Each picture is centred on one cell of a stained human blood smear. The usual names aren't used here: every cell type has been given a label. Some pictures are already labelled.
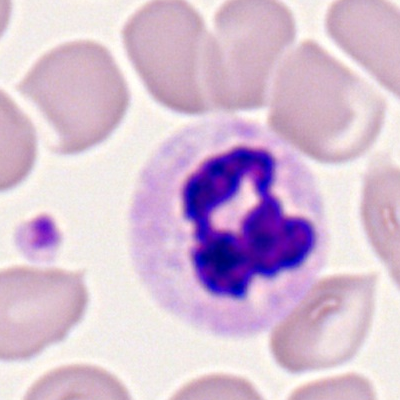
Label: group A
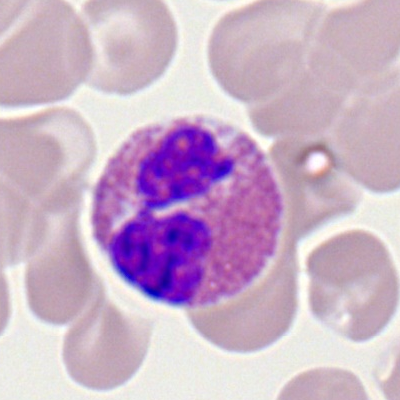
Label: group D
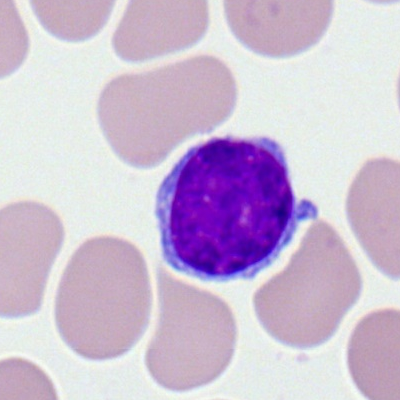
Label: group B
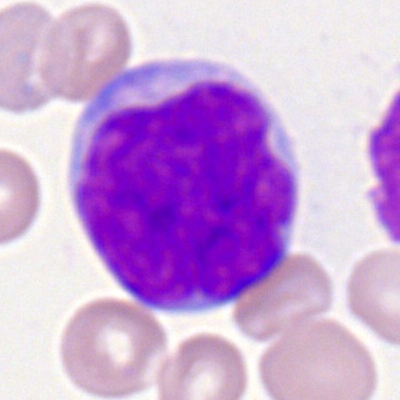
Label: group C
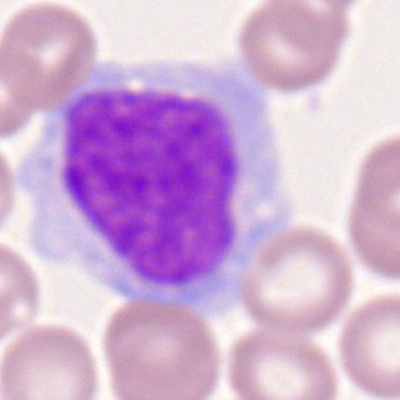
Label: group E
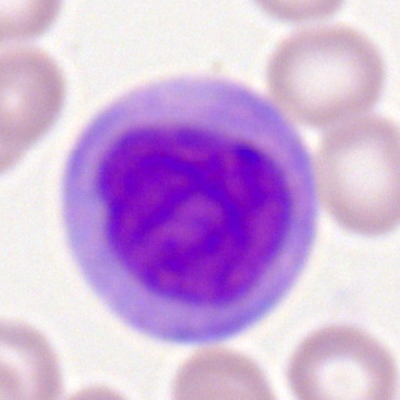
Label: group E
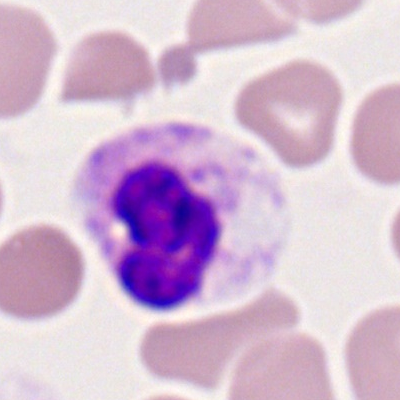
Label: group A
